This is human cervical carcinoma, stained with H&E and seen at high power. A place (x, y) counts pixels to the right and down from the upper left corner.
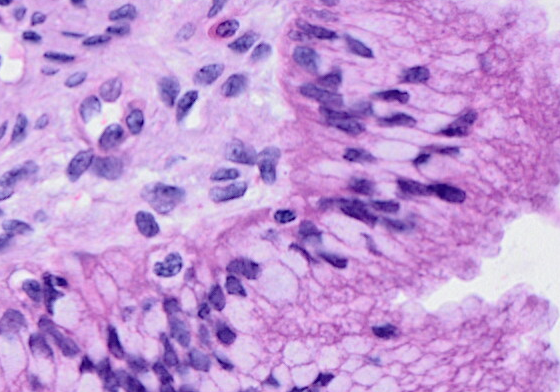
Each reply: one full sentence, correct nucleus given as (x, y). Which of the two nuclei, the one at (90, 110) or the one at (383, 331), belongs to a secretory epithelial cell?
The nucleus found at (383, 331) belongs to a secretory epithelial cell.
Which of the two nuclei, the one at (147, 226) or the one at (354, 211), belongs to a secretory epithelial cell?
The nucleus at (354, 211), rather than the other, belongs to a secretory epithelial cell.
